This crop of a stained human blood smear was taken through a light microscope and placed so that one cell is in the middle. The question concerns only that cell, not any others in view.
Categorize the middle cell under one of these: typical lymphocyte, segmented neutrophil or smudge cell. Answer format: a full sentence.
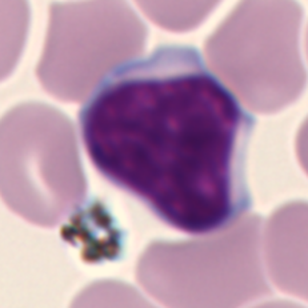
This particular crop is centered on a typical lymphocyte.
